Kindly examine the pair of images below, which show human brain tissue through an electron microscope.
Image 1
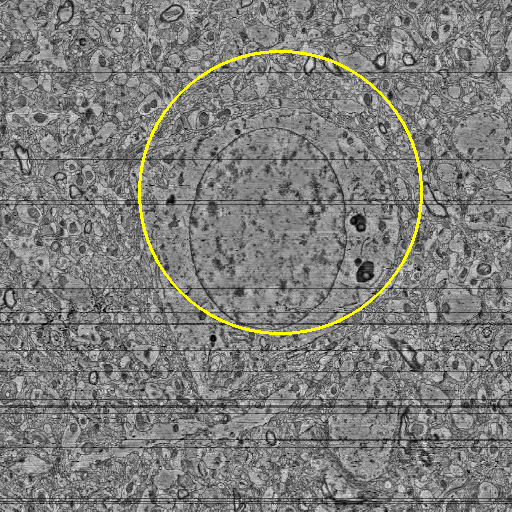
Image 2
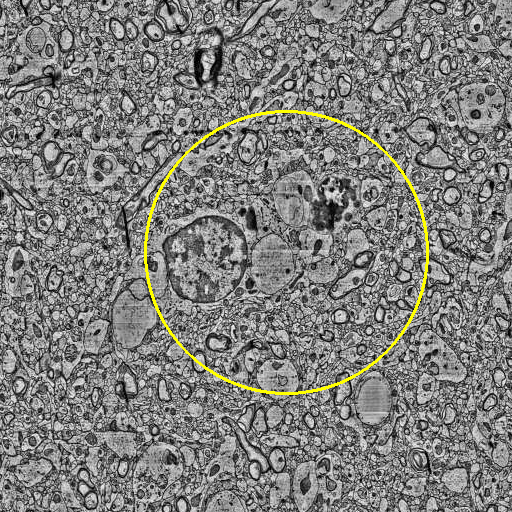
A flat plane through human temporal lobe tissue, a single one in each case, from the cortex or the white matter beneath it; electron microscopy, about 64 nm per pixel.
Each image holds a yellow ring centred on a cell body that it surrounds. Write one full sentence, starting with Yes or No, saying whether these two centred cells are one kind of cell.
No, the cells at the centres of the yellow rings belong to two kinds of cell.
